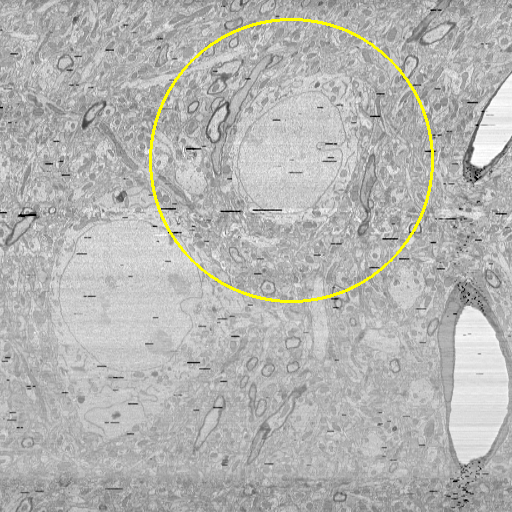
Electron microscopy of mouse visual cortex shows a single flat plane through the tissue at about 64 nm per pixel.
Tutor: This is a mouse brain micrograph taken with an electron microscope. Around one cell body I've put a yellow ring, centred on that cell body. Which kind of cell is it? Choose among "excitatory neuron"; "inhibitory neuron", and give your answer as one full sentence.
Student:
Going by your list, the cell centred in the yellow ring is an excitatory neuron.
